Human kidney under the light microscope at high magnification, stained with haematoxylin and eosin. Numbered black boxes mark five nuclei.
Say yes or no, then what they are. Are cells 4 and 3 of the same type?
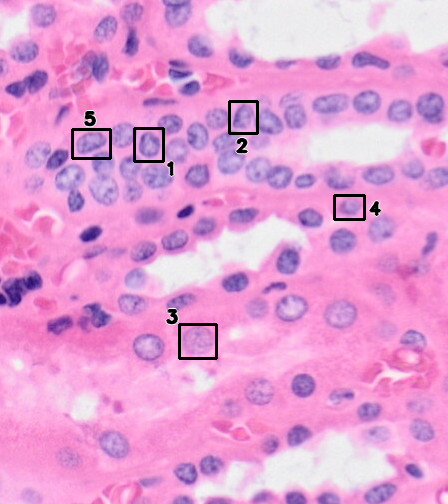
No, cell 4 is a loop of Henle or distal tubule cell and cell 3 is a proximal tubule cell.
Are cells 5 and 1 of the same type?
Yes, both are collecting duct cells.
